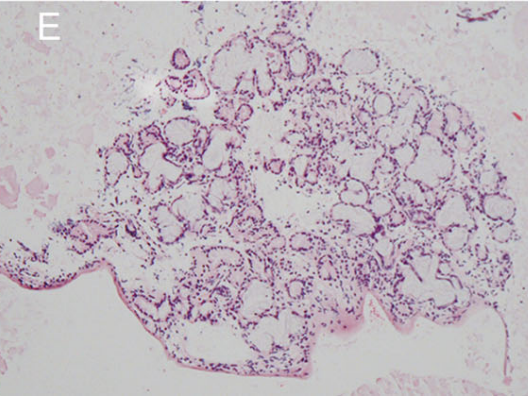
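This is a compact cluster of mucous acinous cells lying on a pale, loose background. The cells form many small rounded acini crowded together, each made of cells with pale, clear or faintly pink cytoplasm and small dark nuclei pushed toward the outer edge. Thin strands of tissue separate neighbouring acini. Along the lower border a thin pink band outlines the cluster. Around it the field is mostly pale pink, loose material with few cells.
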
